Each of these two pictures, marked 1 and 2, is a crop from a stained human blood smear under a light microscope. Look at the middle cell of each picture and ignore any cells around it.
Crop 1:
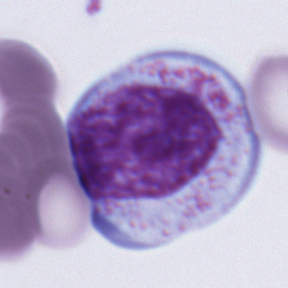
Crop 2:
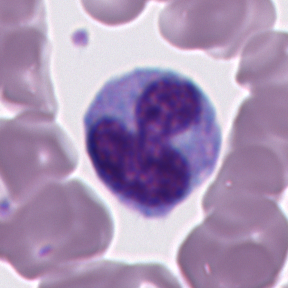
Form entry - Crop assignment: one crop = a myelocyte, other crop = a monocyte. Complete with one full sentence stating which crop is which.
The cell at the middle is a myelocyte in crop 1, but a monocyte in crop 2.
